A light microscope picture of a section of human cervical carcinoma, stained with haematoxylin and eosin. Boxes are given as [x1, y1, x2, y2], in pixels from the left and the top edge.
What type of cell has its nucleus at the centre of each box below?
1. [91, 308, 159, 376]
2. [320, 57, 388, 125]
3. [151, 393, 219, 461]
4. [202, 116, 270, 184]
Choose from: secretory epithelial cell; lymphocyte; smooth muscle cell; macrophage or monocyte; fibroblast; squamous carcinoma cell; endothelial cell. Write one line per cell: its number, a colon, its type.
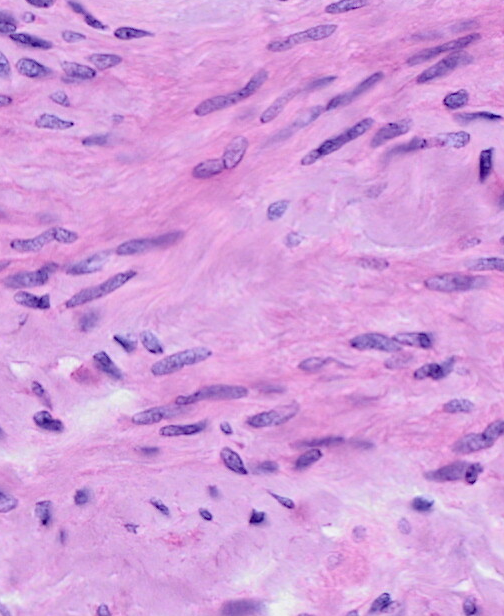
1: fibroblast
2: fibroblast
3: fibroblast
4: smooth muscle cell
